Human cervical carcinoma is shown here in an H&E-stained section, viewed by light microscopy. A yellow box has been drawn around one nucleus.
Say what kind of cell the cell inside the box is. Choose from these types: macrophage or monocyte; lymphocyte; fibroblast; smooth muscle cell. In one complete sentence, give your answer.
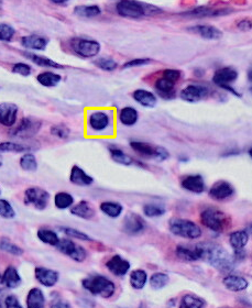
At the level of cell identity, the cell inside the box is a lymphocyte.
